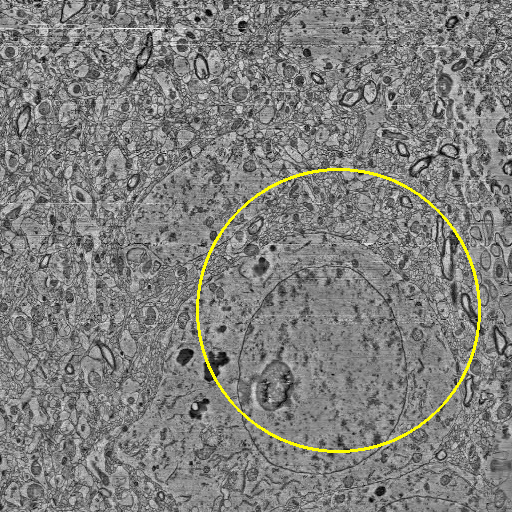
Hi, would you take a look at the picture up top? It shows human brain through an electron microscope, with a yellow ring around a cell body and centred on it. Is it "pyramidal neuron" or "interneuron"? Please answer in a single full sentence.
The best fit for the cell in the middle of the ring is a pyramidal neuron, I reckon.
